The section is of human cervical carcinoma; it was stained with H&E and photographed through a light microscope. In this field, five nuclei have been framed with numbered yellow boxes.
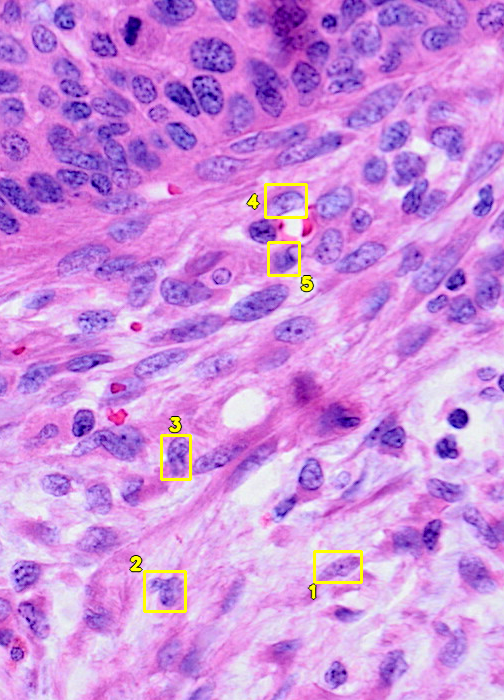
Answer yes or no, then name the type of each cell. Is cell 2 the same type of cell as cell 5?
No, cell 2 is a macrophage or monocyte and cell 5 is an endothelial cell.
